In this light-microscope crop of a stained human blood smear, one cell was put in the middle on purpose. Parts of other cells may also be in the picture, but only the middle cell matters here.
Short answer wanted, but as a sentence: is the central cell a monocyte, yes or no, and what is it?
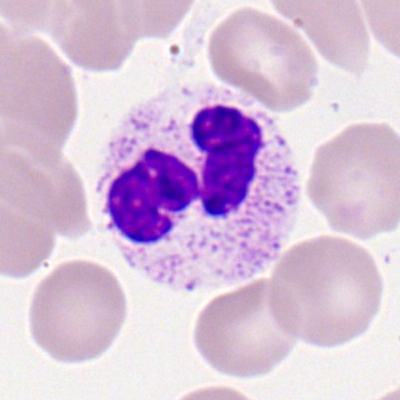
No; rather than a monocyte, the cell at the center is a segmented neutrophil.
